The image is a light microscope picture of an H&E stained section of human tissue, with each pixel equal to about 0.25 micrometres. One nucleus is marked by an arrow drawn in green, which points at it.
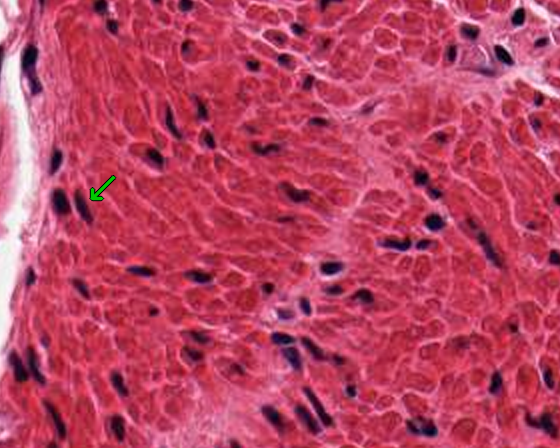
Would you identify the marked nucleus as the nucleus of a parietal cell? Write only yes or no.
no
